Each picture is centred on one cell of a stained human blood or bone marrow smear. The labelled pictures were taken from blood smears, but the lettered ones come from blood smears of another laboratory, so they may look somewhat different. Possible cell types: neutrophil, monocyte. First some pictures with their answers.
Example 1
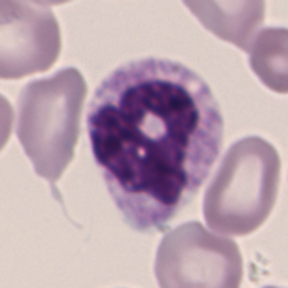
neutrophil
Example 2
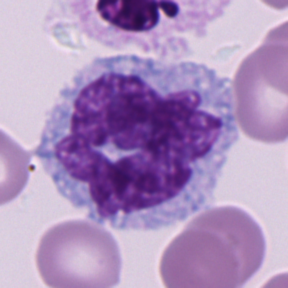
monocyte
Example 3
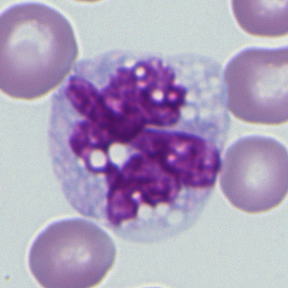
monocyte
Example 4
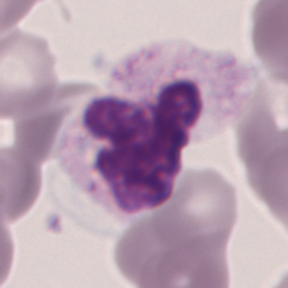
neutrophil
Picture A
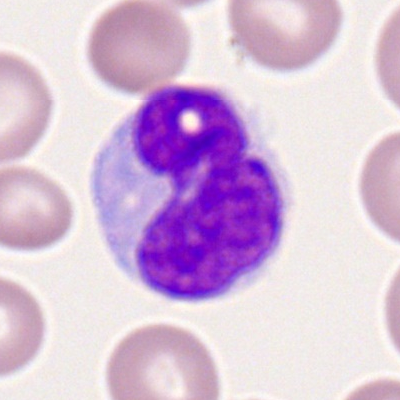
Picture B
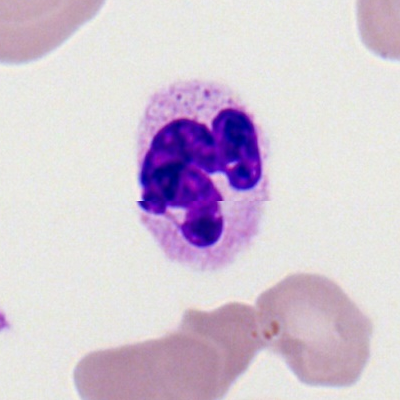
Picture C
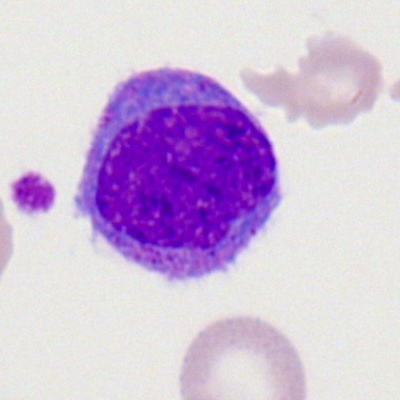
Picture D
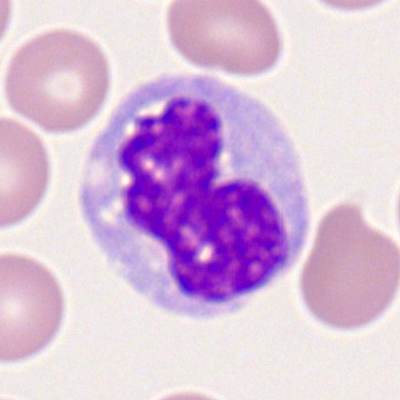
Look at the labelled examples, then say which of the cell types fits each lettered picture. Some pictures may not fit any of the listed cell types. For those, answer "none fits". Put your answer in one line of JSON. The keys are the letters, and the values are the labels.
{"A": "monocyte", "B": "neutrophil", "C": "monocyte", "D": "monocyte"}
